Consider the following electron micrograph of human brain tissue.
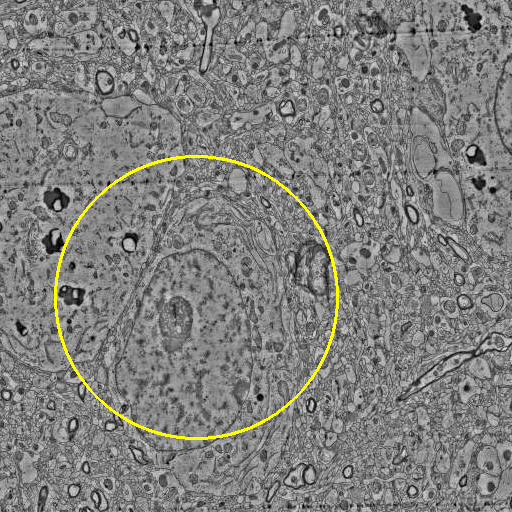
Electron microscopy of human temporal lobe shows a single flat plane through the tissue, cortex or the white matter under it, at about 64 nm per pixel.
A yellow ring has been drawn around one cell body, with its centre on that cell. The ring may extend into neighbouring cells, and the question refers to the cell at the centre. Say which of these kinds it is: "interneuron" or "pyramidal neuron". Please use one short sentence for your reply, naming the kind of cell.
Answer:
The centre of the ring falls on an interneuron.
